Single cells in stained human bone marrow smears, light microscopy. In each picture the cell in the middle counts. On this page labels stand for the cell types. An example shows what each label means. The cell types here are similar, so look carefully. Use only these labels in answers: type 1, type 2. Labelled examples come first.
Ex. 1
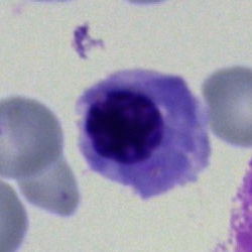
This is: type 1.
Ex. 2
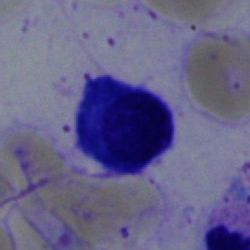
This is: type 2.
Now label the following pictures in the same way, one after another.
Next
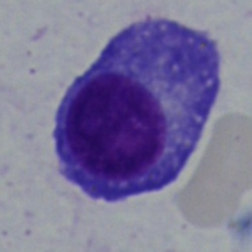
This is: type 2.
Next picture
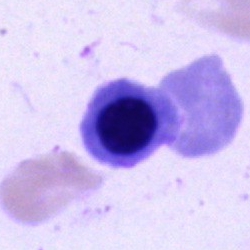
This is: type 1.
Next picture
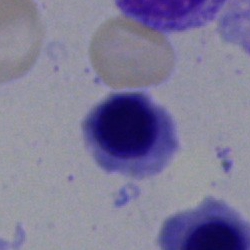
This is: type 1.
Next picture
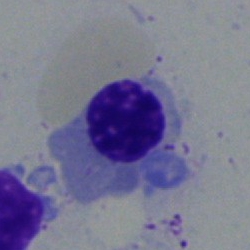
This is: type 1.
